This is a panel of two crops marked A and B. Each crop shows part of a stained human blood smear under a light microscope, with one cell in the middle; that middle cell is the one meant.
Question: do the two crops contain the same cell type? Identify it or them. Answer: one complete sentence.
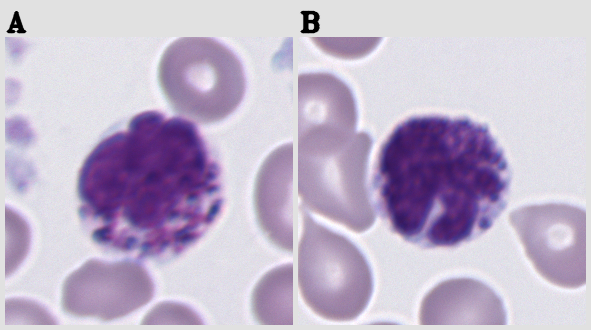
Yes, the cells at the centre of both crops are basophils.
